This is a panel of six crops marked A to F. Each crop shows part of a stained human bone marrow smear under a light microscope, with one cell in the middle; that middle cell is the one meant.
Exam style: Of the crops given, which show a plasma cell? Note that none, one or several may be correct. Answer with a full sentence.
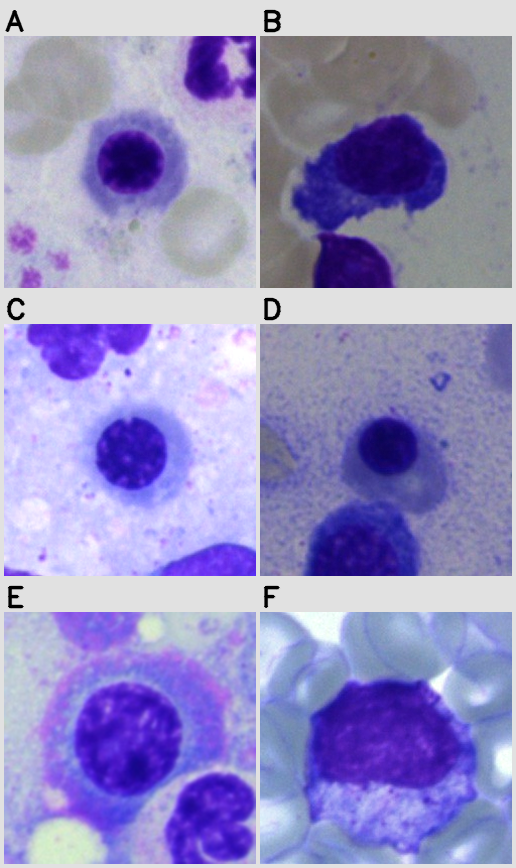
Crops B and E are the crops in which plasma cells are shown.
